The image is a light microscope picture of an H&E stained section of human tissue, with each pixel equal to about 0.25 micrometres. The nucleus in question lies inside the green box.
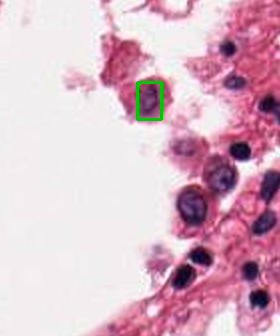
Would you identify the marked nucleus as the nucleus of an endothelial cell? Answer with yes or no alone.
no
